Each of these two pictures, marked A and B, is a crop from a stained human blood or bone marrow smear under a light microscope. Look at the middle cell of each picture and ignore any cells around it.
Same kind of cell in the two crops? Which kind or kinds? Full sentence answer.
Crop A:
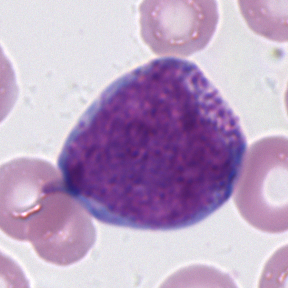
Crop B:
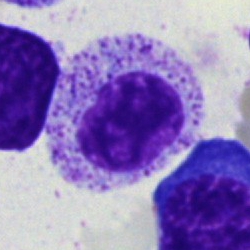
No, look again: crop A shows a promyelocyte, and crop B shows a myelocyte.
